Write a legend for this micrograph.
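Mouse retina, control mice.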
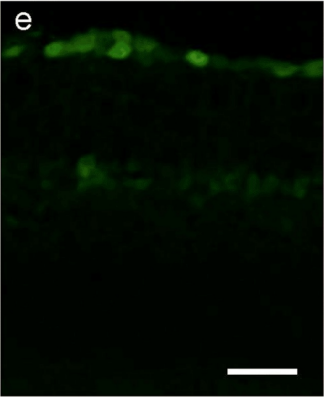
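The brightest green cells are rounded cell bodies lined up in a single row along the inner edge, in the ganglion cell layer. Beneath them lies a broad, dark, fibre-rich band without cell bodies, the inner plexiform layer. Lower down a second, fainter and more irregular row of green cell bodies marks part of the inner nuclear layer. The deeper part of the section, toward the photoreceptor side, shows no green cells.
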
